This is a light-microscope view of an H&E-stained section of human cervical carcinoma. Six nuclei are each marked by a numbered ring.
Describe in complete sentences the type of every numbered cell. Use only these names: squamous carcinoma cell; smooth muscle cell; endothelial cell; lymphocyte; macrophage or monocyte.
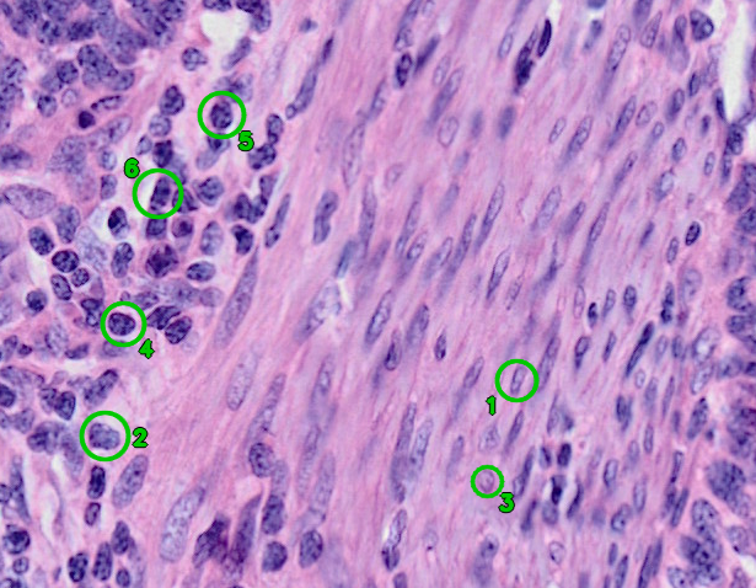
Cells 1 and 3 are smooth muscle cells. Cells 2, 4, 5 and 6 are lymphocytes.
